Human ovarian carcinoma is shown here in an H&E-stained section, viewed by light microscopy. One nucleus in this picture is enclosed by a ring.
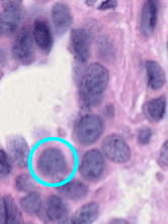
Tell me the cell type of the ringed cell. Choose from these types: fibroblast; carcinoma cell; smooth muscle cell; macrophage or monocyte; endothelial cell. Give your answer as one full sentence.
The ringed cell is a carcinoma cell.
